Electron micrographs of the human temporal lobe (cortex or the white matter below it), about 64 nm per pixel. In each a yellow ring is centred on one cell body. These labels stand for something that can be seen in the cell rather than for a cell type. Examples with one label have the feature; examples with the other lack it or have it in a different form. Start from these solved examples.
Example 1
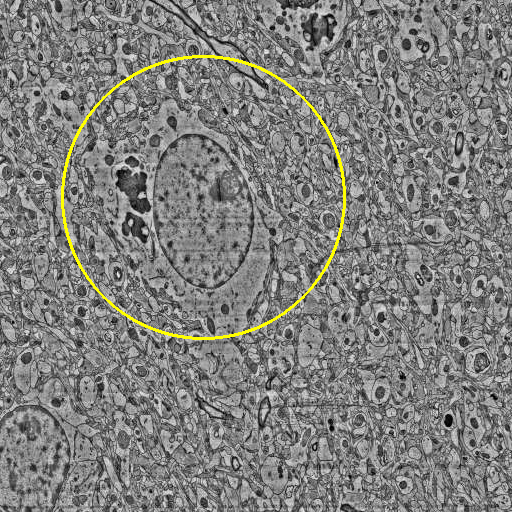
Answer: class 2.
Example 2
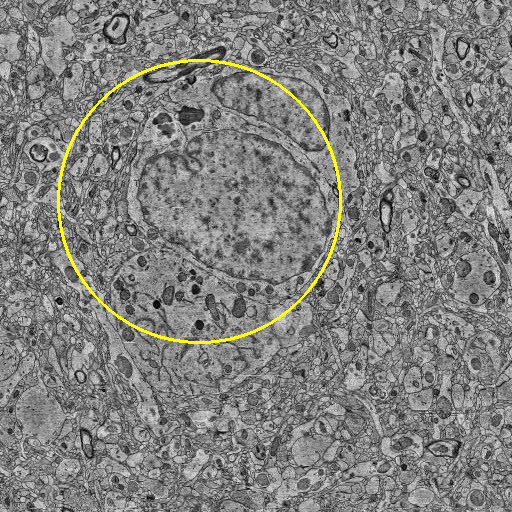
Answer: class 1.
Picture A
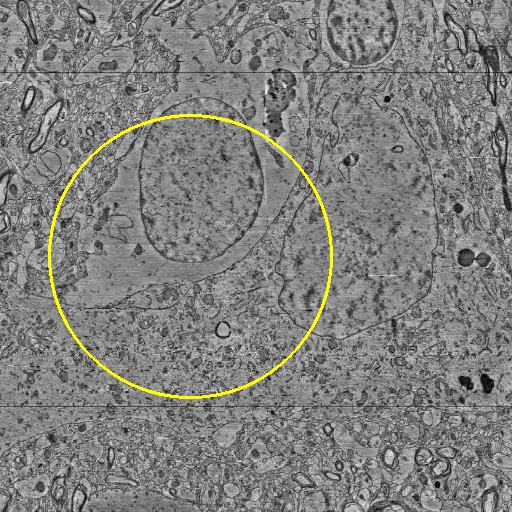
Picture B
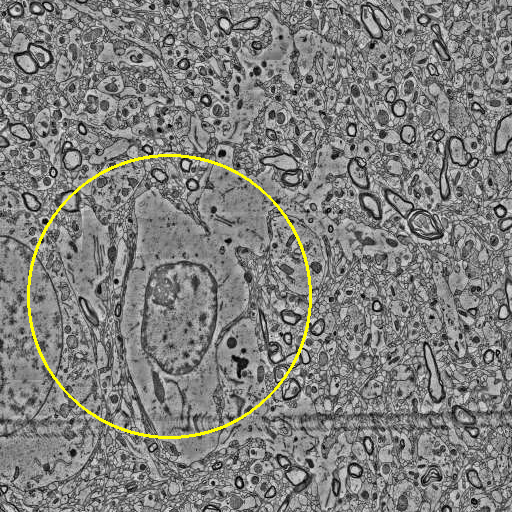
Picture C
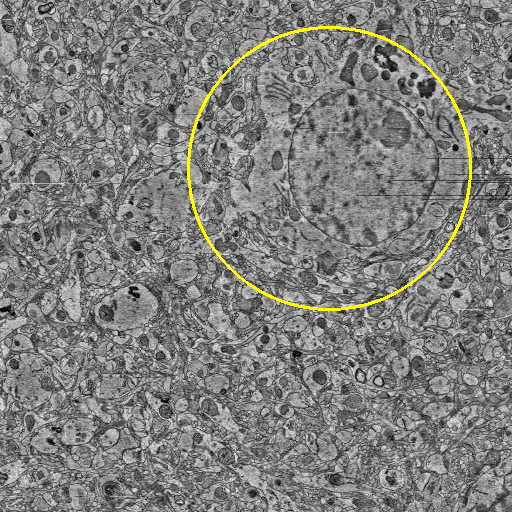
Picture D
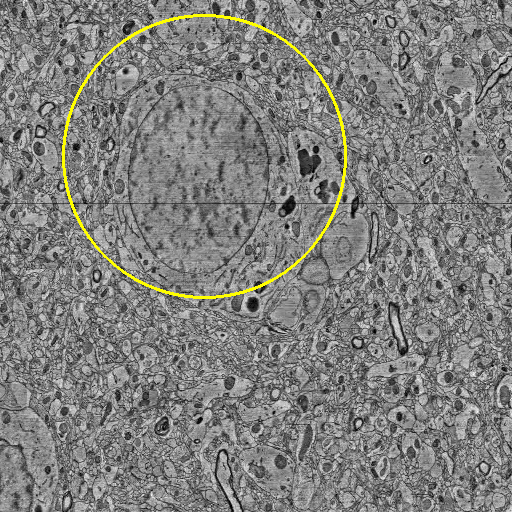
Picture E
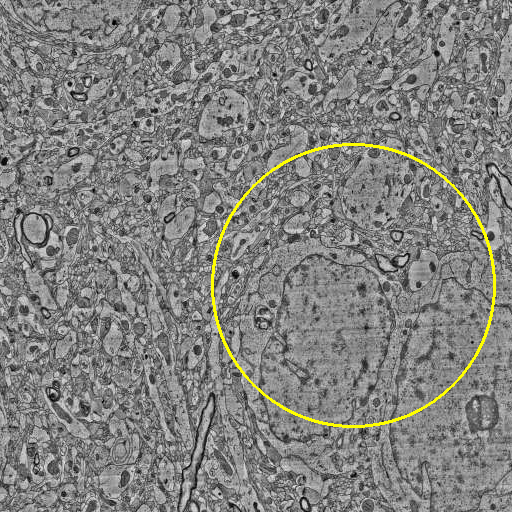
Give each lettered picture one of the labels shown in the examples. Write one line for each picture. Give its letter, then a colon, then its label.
A: class 1.
B: class 2.
C: class 2.
D: class 1.
E: class 1.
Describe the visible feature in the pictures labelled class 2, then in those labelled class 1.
class 2: nucleolus seen; class 1: no nucleolus seen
